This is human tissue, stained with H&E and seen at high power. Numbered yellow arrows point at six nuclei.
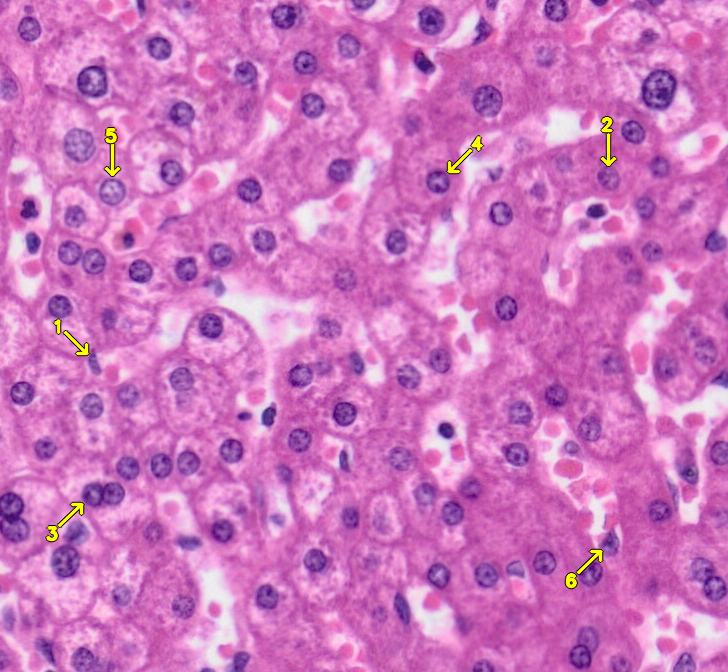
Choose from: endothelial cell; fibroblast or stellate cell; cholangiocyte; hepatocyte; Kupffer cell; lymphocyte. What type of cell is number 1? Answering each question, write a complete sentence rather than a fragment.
The cell indicated with the number 1 is classed as an endothelial cell.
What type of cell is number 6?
The cell marked with the number 6 is an endothelial cell.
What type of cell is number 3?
The cell indicated with the number 3 is classed as a hepatocyte.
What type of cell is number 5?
The nucleus labelled 5 belongs to a hepatocyte.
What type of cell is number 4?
Heads up, the cell numbered 4 is a hepatocyte.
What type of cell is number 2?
The cell that bears the number 2 is a hepatocyte.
